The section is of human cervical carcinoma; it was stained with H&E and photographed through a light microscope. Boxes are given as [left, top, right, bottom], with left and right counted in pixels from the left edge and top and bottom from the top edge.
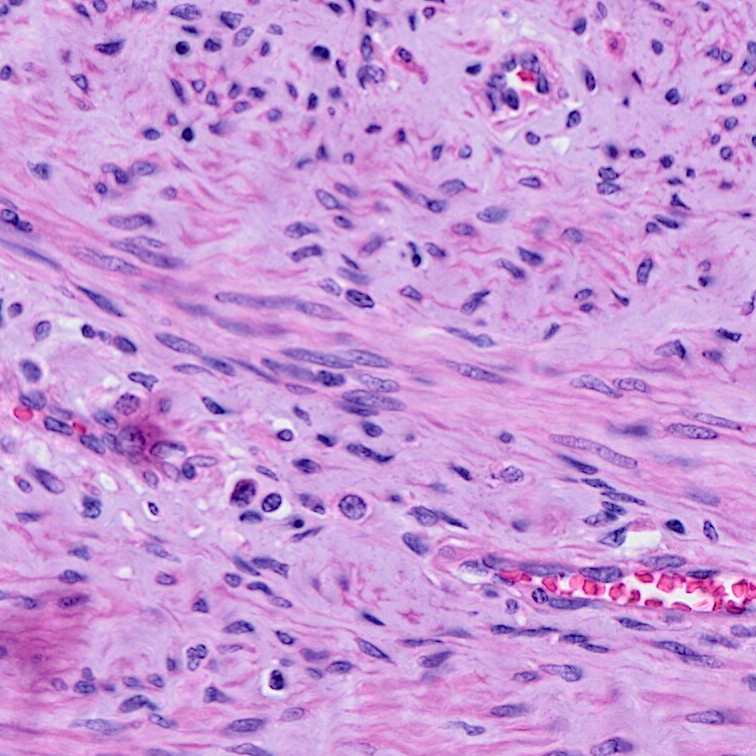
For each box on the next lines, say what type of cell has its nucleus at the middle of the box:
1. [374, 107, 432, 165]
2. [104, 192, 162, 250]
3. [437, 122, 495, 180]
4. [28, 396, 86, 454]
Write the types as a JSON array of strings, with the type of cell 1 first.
["smooth muscle cell", "smooth muscle cell", "smooth muscle cell", "endothelial cell"]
